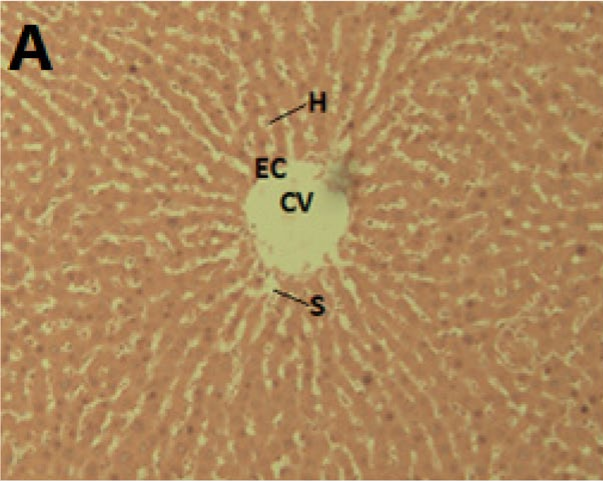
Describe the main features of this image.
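This is liver tissue centred on a central vein, a round empty lumen from which plates of hepatocytes radiate outward like spokes. The hepatocytes are pink, polygonal cells with small round dark nuclei, arranged in cords one or two cells thick. Between the cords run pale, narrow sinusoids that open toward the vein, whose wall is lined by thin endothelial cells.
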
